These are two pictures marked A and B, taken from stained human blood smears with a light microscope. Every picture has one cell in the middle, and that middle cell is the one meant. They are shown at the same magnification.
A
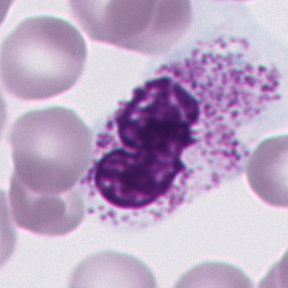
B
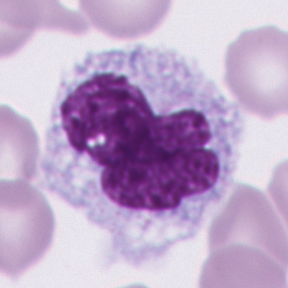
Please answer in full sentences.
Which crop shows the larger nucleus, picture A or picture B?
The nucleus in picture B is larger, with about 1.5 times the area of the one in picture A.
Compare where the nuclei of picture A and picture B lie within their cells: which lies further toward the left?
In picture A the nucleus is shifted more toward the left.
